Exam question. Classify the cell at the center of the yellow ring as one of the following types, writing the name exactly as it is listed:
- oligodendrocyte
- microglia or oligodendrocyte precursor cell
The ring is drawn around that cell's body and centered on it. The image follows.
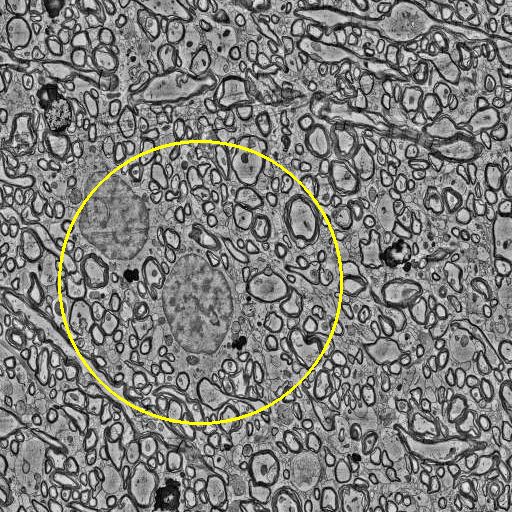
oligodendrocyte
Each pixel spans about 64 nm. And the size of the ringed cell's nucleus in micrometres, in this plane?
Approximately 6 by 4 micrometers in this plane.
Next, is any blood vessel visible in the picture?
No.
